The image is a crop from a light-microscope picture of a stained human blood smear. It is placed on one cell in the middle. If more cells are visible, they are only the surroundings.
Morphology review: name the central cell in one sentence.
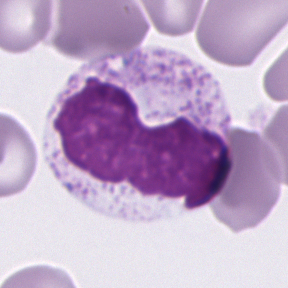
Within this crop, a band neutrophil occupies the central position.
